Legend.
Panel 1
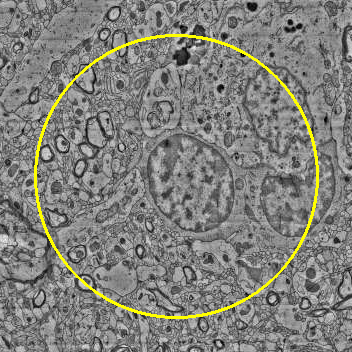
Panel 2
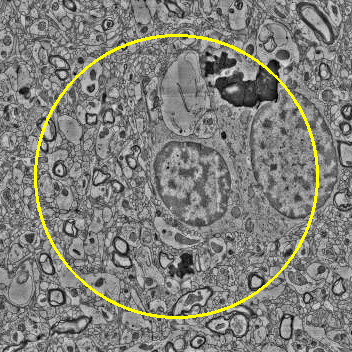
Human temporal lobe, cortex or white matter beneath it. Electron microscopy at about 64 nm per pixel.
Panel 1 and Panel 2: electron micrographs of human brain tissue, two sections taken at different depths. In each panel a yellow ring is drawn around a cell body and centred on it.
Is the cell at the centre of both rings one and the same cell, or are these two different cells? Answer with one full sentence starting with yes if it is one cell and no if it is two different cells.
Yes, both rings are placed on a single cell.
